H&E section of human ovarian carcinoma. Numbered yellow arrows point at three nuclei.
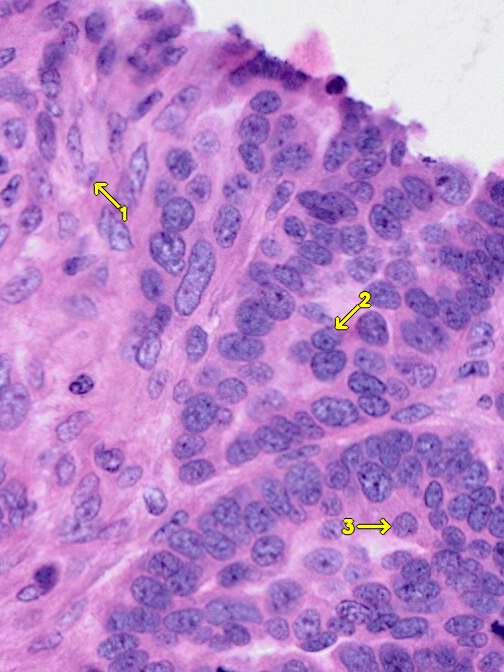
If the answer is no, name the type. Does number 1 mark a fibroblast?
Yes.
